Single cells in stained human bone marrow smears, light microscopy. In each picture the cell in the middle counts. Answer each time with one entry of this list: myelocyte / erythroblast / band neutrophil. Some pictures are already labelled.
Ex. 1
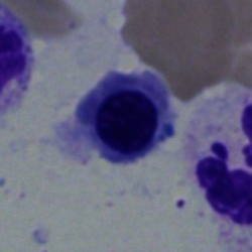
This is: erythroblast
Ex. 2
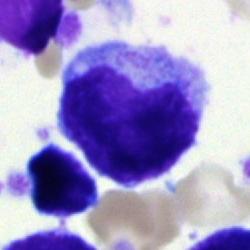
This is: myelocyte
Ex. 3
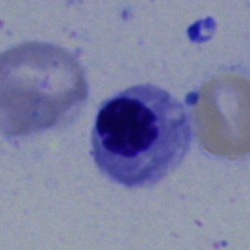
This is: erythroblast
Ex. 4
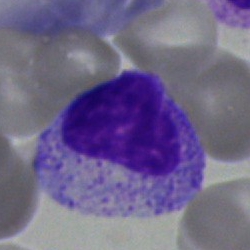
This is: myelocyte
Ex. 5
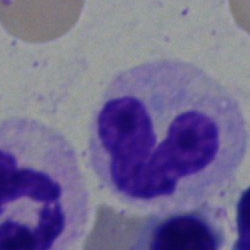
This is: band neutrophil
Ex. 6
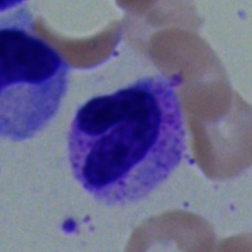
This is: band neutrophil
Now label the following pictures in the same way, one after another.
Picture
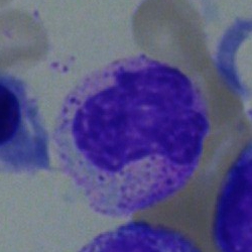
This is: band neutrophil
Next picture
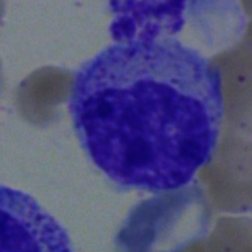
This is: myelocyte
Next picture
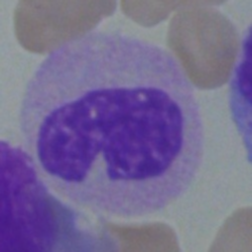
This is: band neutrophil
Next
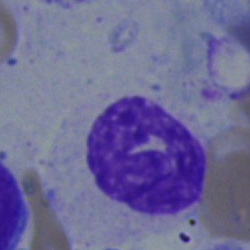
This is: band neutrophil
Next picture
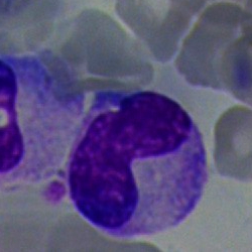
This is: band neutrophil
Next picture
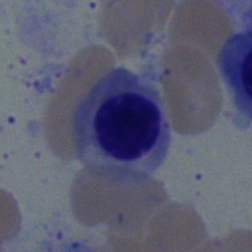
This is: erythroblast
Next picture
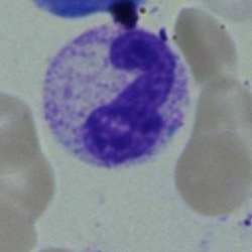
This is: band neutrophil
